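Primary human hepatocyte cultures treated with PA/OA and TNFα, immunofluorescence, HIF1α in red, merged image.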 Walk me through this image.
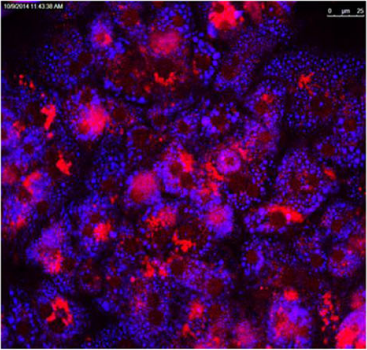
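The cells are polygonal and closely packed, with barely any space between them. Every cell is stuffed with many small round blue droplets, giving the field a bubbly, foamy texture. Red stain gathers in roundish patches near the middle of many cells and also in bright, irregular red clumps scattered among them. The overall arrangement resembles a cobblestone pattern of fat-laden cells.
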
